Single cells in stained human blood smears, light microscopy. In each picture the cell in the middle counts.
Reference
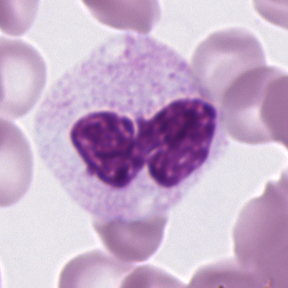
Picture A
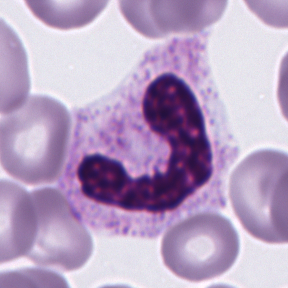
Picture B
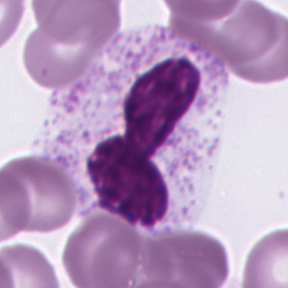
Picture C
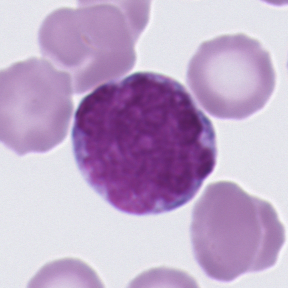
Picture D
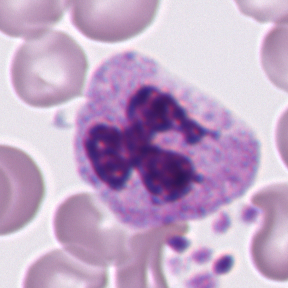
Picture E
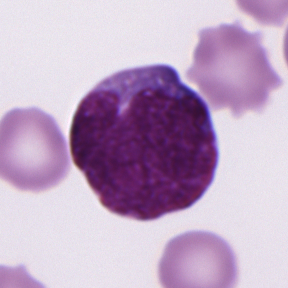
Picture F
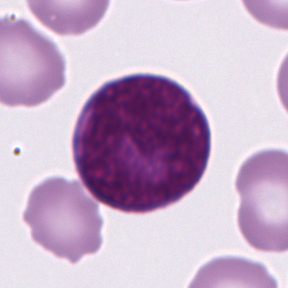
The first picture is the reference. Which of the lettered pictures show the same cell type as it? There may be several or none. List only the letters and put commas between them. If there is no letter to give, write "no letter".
A, B, D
